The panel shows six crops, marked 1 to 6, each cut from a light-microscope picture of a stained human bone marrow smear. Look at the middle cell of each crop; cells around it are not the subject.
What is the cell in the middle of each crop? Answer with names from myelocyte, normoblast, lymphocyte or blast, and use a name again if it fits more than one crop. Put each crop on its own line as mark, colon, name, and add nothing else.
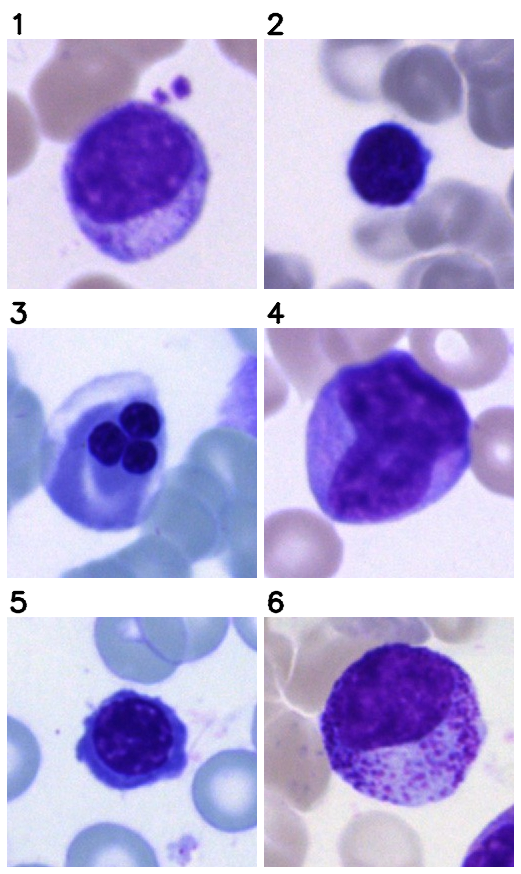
1: myelocyte
2: lymphocyte
3: normoblast
4: blast
5: normoblast
6: myelocyte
